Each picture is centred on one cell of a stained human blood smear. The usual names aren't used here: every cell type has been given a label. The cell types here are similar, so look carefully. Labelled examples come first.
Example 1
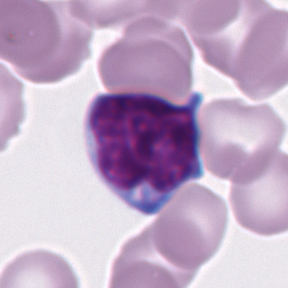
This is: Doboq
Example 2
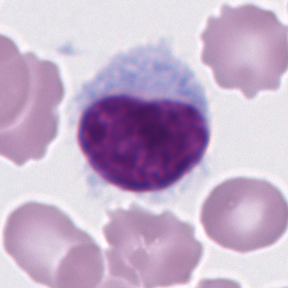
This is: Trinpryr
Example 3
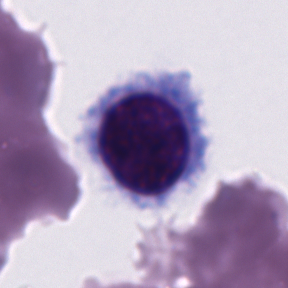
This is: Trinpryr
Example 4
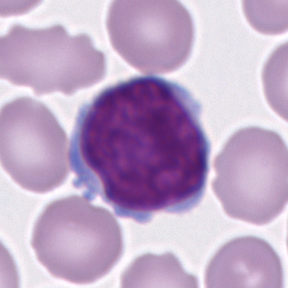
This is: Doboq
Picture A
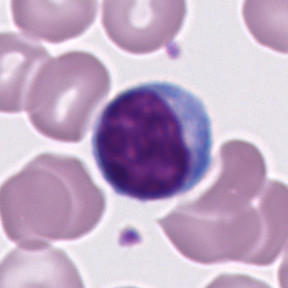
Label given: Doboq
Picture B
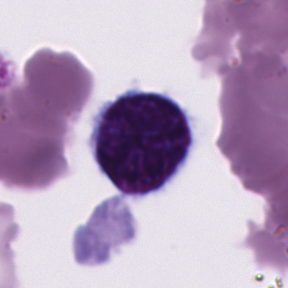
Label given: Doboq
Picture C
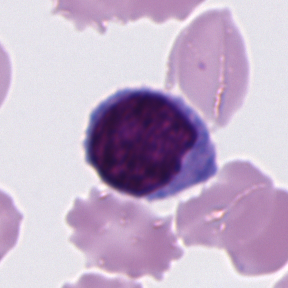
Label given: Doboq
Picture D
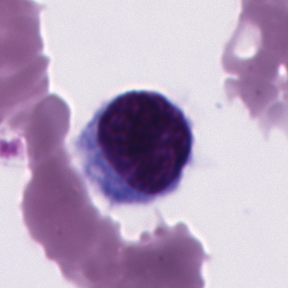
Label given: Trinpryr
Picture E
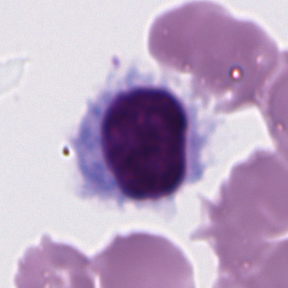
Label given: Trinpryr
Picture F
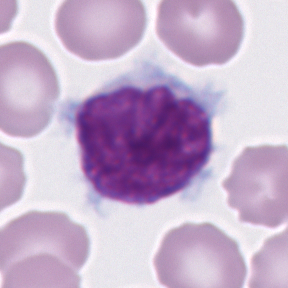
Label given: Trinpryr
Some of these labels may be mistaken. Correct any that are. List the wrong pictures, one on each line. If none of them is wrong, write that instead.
B: Trinpryr, not Doboq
